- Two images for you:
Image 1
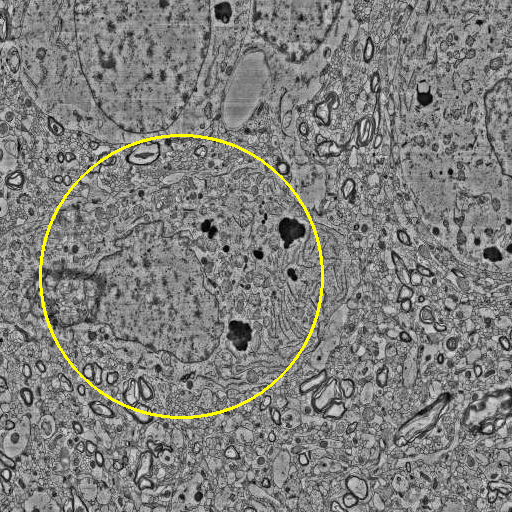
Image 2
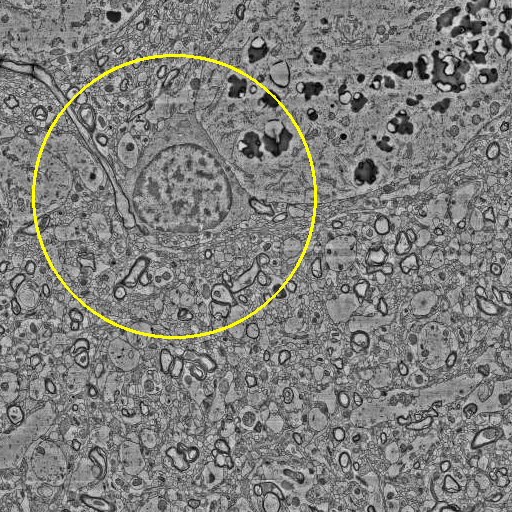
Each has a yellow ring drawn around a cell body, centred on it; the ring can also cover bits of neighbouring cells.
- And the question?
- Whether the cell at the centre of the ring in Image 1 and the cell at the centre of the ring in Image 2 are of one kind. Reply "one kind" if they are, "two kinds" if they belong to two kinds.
two kinds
